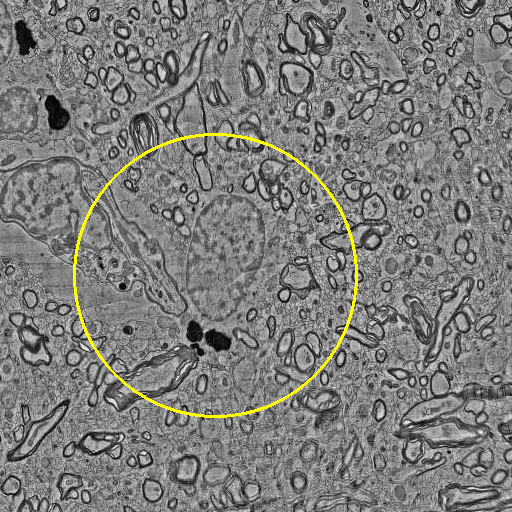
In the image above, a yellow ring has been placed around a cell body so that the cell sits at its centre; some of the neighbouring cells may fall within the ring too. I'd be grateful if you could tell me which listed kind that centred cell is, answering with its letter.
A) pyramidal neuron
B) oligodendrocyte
B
